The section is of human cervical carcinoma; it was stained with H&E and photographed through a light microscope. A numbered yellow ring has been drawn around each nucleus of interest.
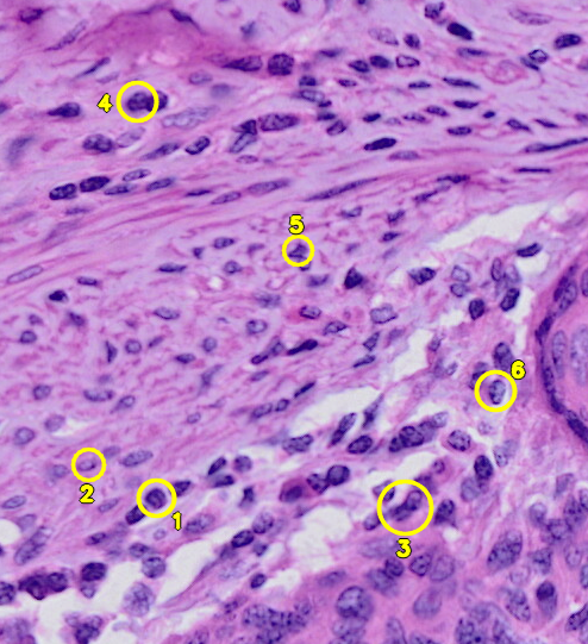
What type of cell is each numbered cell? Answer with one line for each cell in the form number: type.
1: lymphocyte
2: smooth muscle cell
3: lymphocyte
4: lymphocyte
5: smooth muscle cell
6: lymphocyte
